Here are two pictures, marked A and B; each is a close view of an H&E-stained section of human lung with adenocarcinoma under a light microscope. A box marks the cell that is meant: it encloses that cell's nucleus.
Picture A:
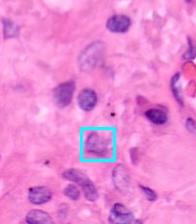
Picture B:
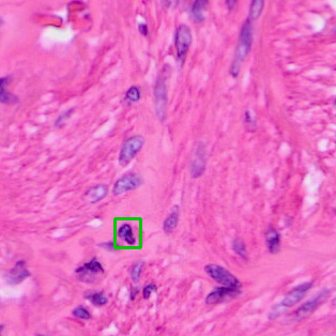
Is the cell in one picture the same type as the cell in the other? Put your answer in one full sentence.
No, they differ: the cell is a fibroblast in picture A and a mast cell in picture B.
